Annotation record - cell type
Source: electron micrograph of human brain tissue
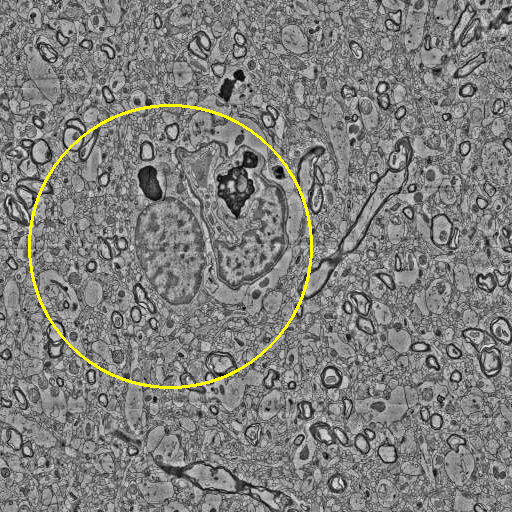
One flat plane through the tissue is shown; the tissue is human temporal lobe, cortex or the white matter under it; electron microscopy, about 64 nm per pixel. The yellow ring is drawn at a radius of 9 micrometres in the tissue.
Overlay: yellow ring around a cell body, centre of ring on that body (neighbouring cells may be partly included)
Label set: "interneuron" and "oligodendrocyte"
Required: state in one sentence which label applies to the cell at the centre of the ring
This cell should be labelled as an oligodendrocyte.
